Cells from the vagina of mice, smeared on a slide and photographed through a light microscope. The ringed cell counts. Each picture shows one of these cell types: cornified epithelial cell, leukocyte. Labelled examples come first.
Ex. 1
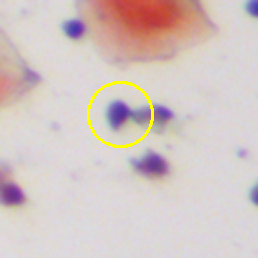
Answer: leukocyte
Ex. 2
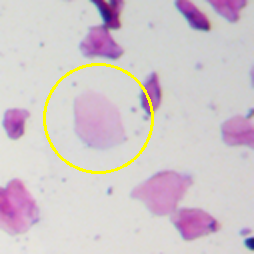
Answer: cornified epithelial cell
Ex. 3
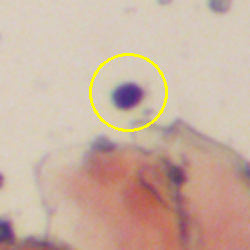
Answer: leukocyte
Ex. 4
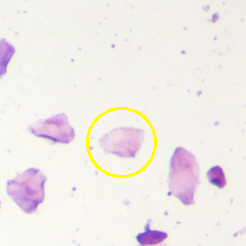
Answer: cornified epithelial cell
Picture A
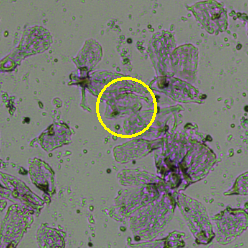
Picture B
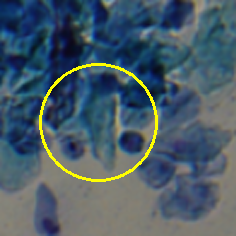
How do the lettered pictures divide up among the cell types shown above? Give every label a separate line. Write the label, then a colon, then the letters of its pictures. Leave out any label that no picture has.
cornified epithelial cell: A, B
